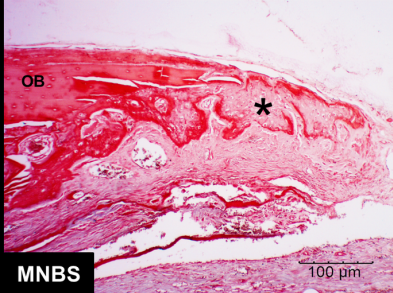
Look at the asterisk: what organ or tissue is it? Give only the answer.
new bone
